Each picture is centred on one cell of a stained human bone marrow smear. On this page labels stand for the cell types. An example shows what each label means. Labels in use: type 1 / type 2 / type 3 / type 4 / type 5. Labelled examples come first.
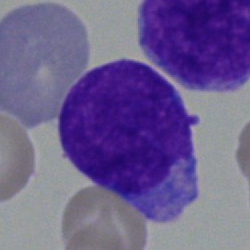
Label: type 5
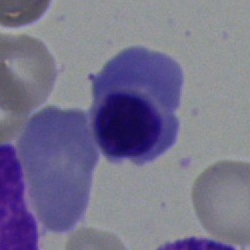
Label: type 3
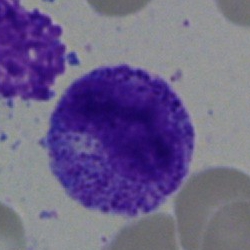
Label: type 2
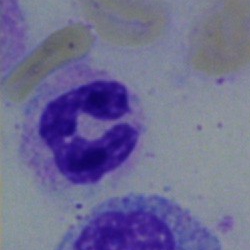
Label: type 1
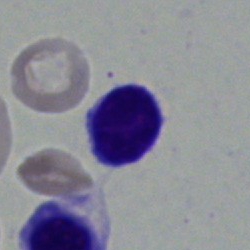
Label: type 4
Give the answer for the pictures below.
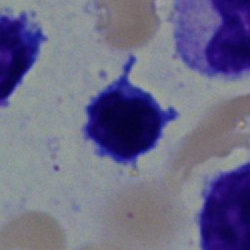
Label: type 4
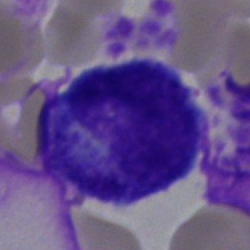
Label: type 2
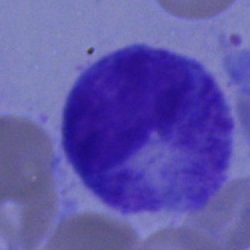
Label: type 2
